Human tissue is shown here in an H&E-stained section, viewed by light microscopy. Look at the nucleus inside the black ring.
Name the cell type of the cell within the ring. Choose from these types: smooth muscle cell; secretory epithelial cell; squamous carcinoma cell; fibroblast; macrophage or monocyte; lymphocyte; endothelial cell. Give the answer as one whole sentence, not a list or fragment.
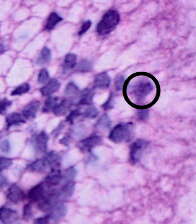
Considered by cell type, the cell within the ring is a secretory epithelial cell.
